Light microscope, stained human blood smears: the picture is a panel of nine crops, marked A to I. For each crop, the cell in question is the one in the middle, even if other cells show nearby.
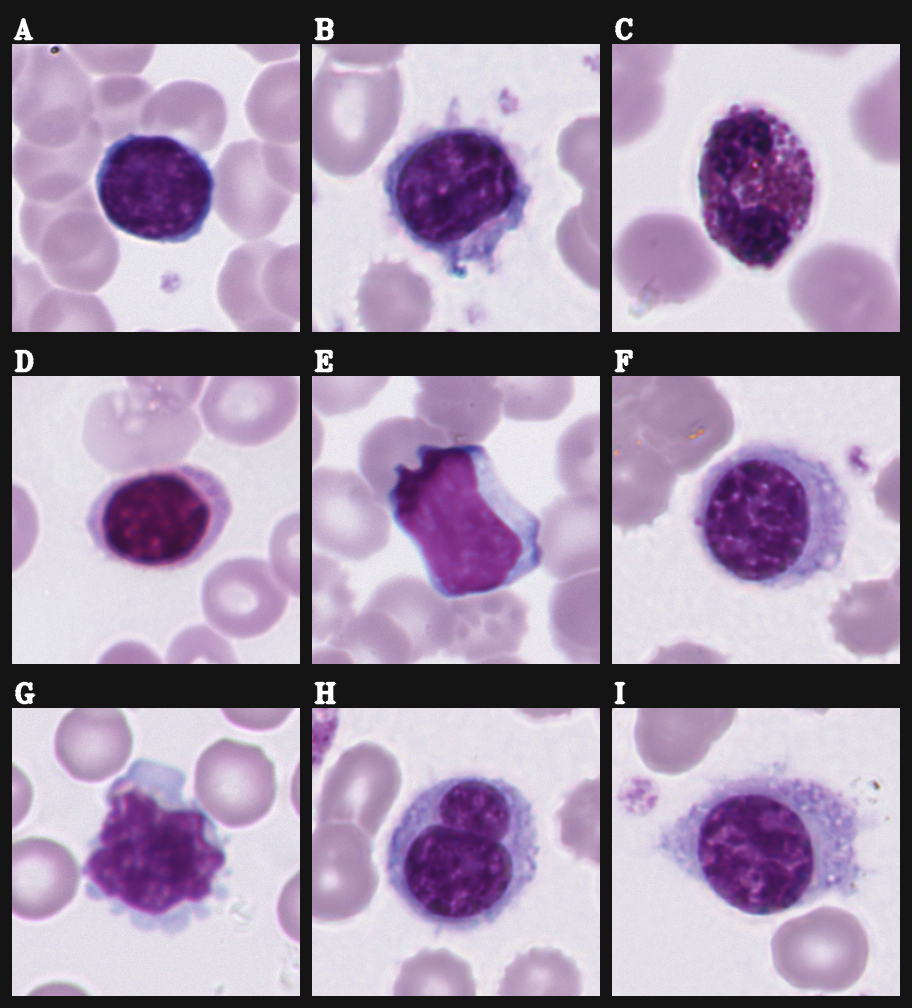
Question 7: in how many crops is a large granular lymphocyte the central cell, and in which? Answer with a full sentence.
One crop, and only one, shows a large granular lymphocyte: that is crop D.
